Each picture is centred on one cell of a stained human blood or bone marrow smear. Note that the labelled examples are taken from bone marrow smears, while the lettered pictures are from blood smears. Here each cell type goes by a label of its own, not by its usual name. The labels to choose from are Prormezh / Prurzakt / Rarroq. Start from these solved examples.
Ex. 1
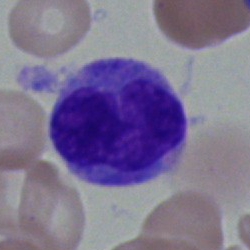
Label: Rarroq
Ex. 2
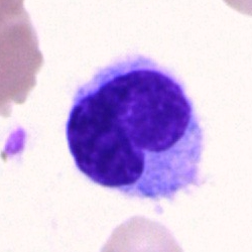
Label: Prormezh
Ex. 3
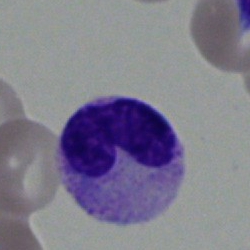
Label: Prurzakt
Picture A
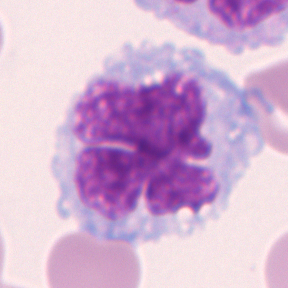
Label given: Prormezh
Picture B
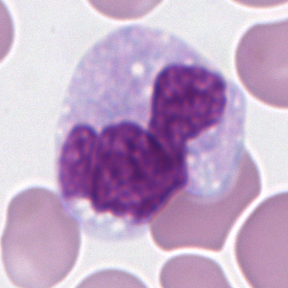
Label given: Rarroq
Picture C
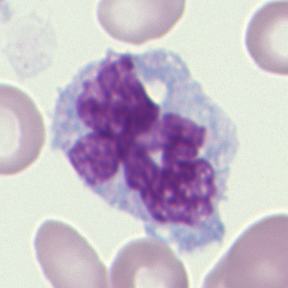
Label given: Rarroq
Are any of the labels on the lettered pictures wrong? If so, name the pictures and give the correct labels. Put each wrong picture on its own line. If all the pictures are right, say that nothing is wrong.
A: not Prormezh but Rarroq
